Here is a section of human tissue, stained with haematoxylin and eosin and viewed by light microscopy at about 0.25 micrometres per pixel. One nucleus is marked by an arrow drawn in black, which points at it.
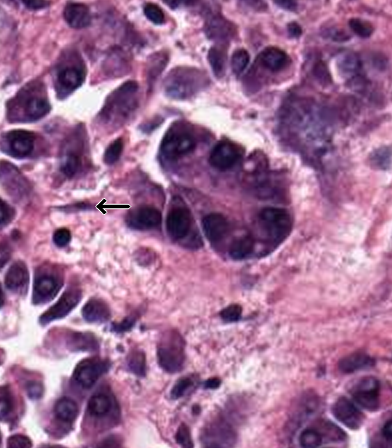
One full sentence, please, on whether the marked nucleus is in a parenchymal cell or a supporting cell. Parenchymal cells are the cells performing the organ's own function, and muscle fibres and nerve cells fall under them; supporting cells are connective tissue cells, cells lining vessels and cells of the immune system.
A supporting cell is the owner of the marked nucleus.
